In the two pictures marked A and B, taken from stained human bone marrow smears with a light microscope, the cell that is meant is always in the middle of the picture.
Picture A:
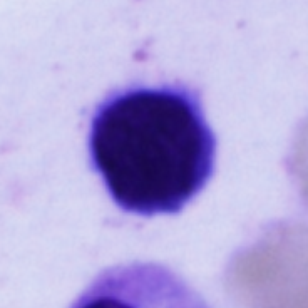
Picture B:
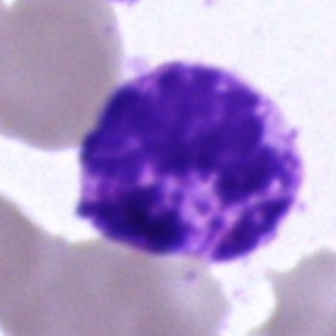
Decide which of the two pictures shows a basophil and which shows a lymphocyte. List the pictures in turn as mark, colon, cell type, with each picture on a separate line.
A: lymphocyte
B: basophil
